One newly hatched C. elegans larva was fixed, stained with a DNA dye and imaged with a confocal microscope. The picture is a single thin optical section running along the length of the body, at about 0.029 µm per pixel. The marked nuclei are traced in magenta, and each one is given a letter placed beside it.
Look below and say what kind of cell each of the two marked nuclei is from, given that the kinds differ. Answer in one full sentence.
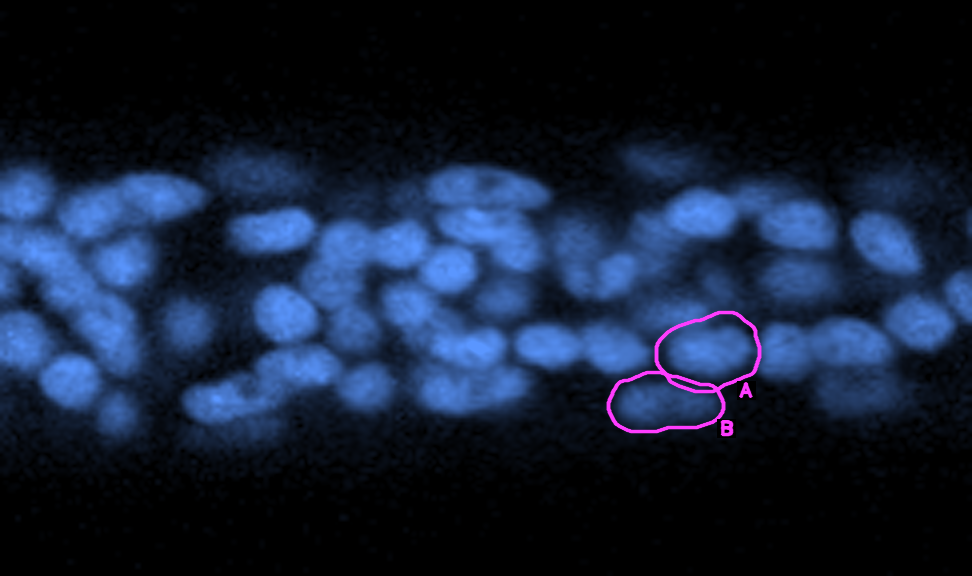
B belongs to a body wall muscle cell, and A to a hypodermal cell (hyp).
